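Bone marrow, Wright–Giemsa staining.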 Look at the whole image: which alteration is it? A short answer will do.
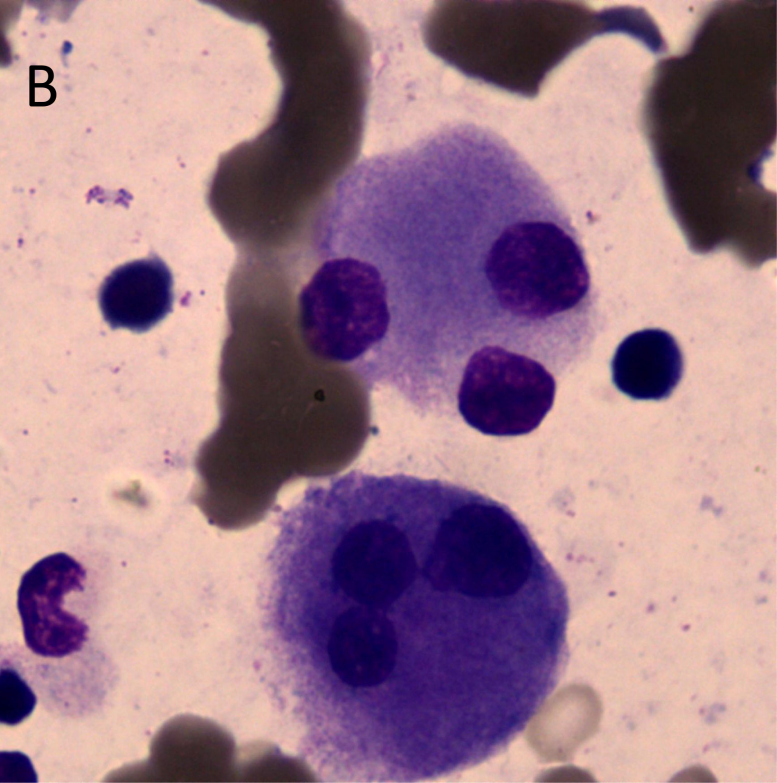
Multi-round megakaryocytes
